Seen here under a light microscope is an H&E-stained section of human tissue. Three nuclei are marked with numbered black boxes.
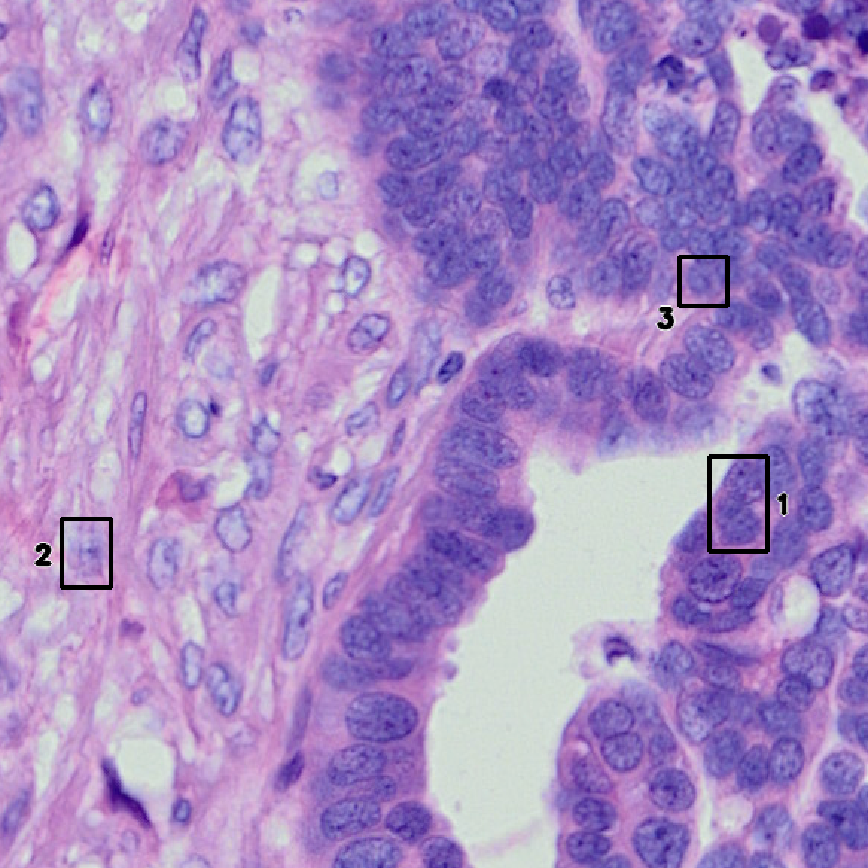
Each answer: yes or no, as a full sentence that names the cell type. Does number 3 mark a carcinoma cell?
Yes, the cell that the number 3 labels is a carcinoma cell.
